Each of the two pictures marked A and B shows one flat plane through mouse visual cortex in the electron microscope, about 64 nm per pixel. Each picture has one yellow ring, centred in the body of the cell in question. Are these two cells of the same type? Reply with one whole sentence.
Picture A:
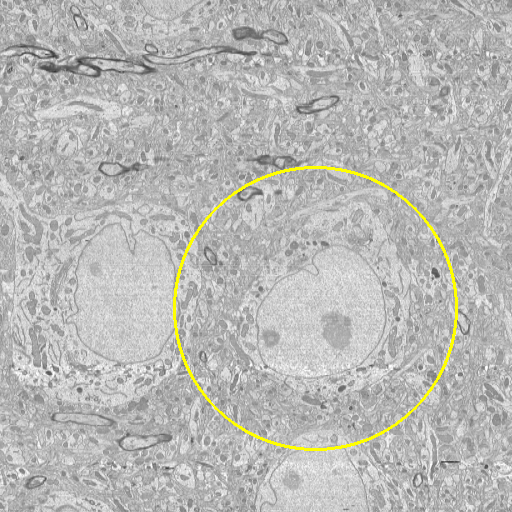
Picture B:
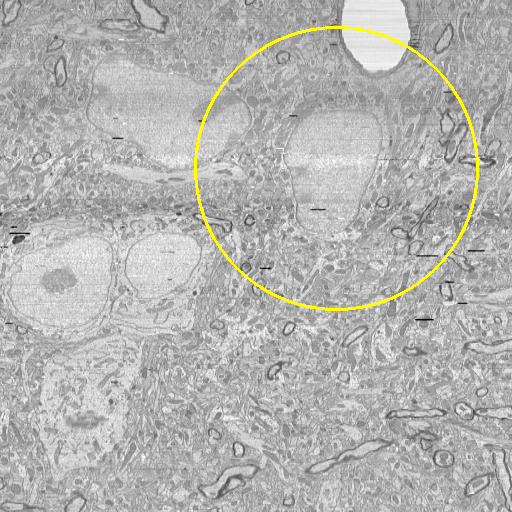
No, picture A shows an excitatory neuron and picture B shows an astrocyte.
